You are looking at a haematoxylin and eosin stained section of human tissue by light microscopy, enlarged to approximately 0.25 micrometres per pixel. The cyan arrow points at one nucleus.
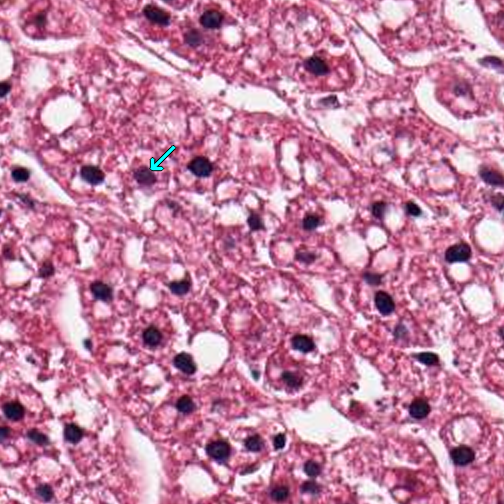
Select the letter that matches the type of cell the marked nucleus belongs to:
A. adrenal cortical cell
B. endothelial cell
A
